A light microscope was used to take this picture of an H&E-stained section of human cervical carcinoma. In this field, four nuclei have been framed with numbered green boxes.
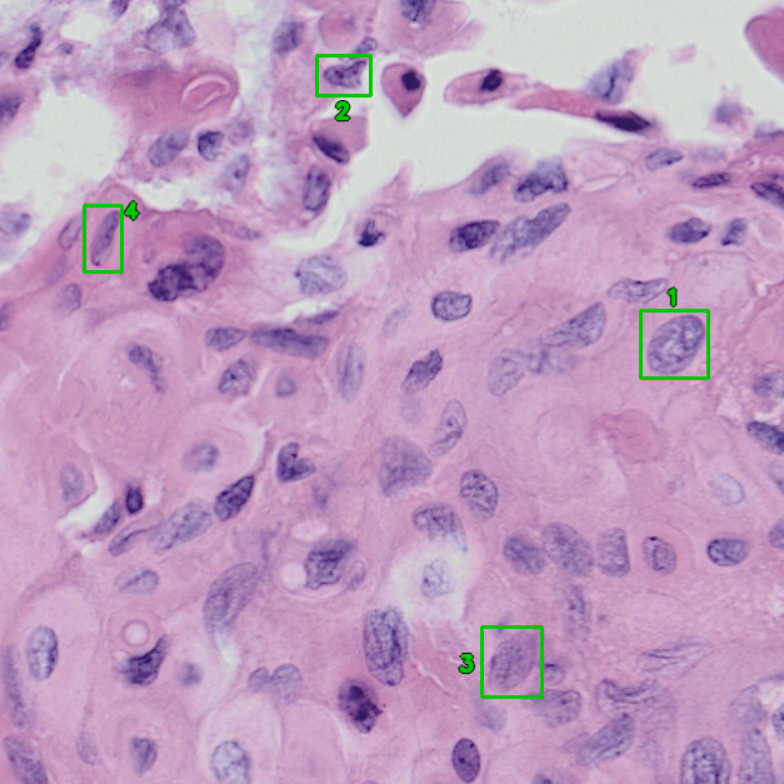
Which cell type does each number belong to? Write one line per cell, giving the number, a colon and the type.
1: squamous carcinoma cell
2: macrophage or monocyte
3: squamous carcinoma cell
4: squamous carcinoma cell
